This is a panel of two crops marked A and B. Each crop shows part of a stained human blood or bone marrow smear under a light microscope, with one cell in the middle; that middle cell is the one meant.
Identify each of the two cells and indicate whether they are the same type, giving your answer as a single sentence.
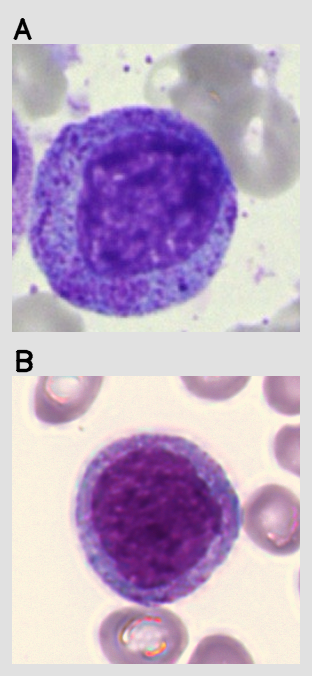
Yes, it is promyelocytes that occupy the middle of both crops.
